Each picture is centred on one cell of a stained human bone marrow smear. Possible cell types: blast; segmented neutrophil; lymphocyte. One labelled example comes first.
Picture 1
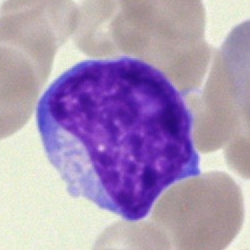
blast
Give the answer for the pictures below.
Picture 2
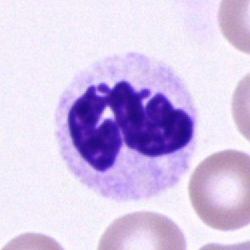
segmented neutrophil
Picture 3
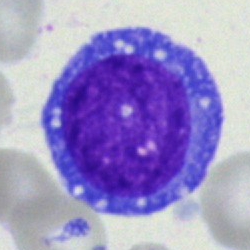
blast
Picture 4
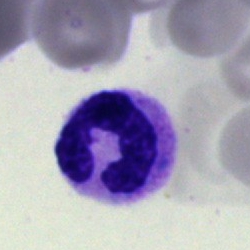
segmented neutrophil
